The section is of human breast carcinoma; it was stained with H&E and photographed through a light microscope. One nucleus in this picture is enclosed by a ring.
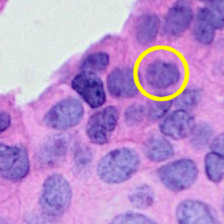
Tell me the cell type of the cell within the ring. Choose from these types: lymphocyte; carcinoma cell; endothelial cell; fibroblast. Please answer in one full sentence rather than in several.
In the tissue under study, the cell within the ring is a carcinoma cell.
